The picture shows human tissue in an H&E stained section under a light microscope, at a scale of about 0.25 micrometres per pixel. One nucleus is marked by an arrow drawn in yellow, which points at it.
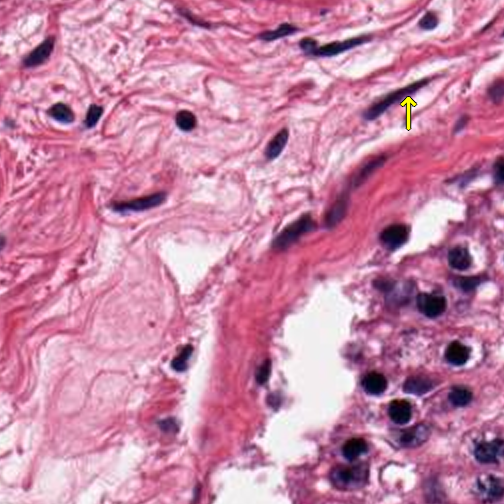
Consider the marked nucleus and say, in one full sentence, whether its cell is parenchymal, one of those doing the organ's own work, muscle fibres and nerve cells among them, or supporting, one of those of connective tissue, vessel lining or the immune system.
The indicated nucleus in this section belongs to a supporting cell.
